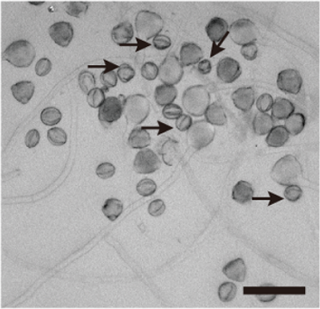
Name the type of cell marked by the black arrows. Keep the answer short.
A: Abortive pollen grains.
